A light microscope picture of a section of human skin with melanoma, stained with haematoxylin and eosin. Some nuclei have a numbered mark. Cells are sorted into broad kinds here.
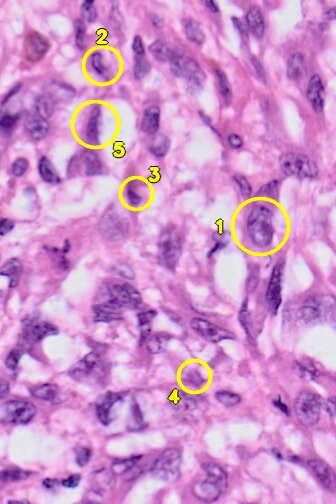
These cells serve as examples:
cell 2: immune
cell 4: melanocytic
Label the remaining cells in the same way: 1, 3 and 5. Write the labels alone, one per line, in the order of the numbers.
melanocytic
immune
melanocytic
